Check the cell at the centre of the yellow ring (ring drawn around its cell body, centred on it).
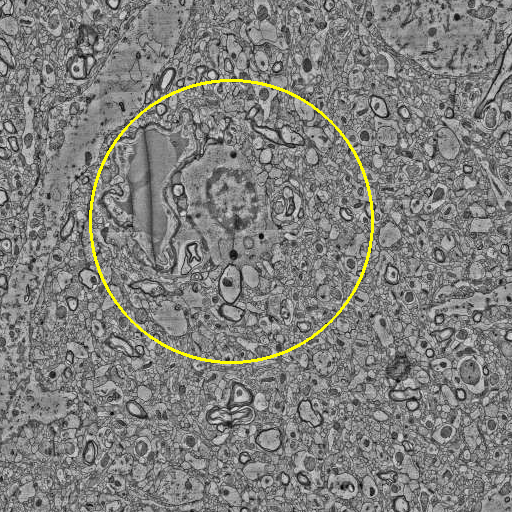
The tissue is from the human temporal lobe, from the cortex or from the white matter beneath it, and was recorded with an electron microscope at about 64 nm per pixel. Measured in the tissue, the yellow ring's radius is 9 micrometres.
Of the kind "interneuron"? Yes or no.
no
